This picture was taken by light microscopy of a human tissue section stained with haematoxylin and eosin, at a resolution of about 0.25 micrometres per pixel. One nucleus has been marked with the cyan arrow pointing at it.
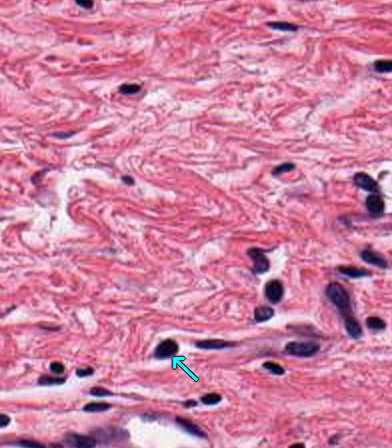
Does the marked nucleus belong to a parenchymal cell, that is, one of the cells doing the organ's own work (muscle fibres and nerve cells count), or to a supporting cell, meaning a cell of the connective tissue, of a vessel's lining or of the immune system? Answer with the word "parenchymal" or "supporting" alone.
supporting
